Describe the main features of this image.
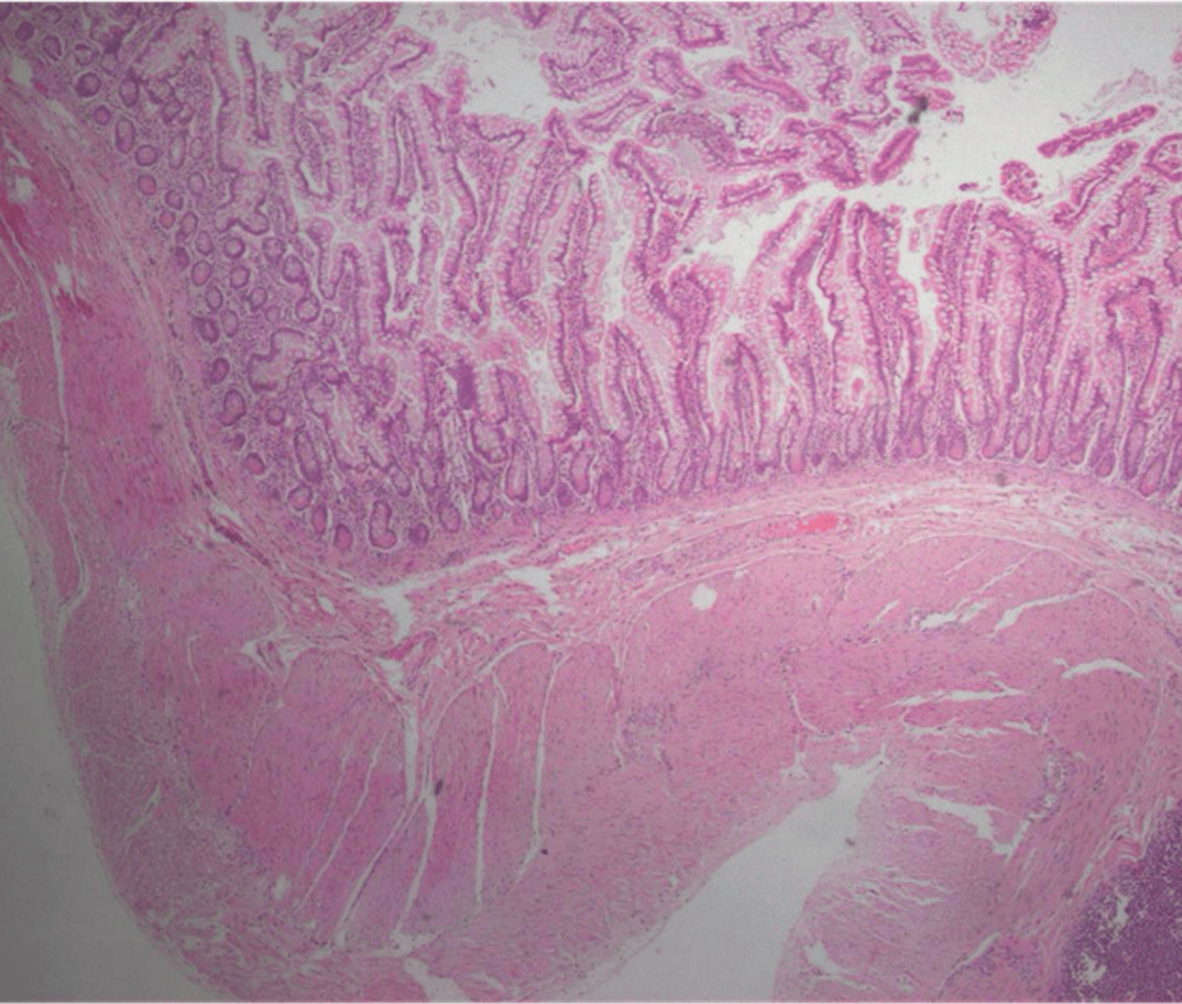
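This is a wall built like the intestine. Long, slender villi lined by a single row of columnar epithelial cells reach up into the lumen, and rows of round to tubular crypts lie at their base. Beneath the mucosa a thin band of pale, loose submucosa with small blood vessels runs along, and under it lies a thick layer of pink smooth muscle in bundles, with a dense purple cluster of lymphoid cells in the lower right corner.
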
